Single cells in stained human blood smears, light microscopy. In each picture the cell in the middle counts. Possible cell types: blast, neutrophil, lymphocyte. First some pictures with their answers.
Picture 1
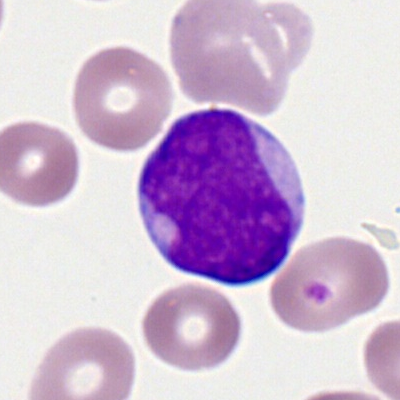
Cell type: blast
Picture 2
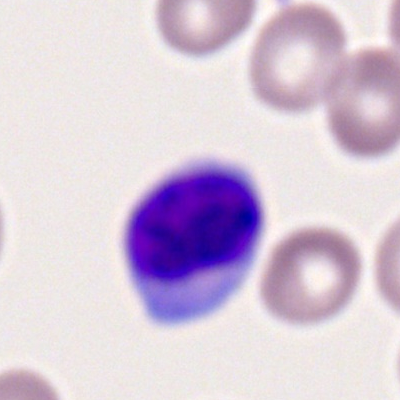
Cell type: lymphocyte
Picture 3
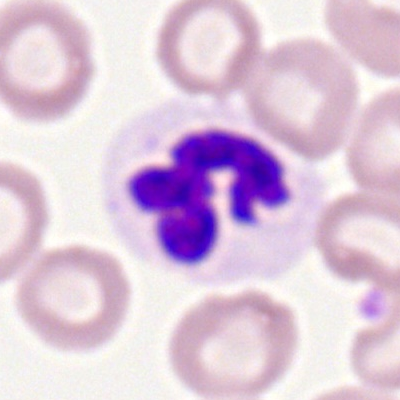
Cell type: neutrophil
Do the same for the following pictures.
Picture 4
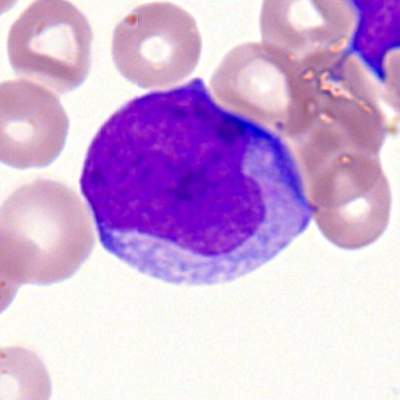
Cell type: blast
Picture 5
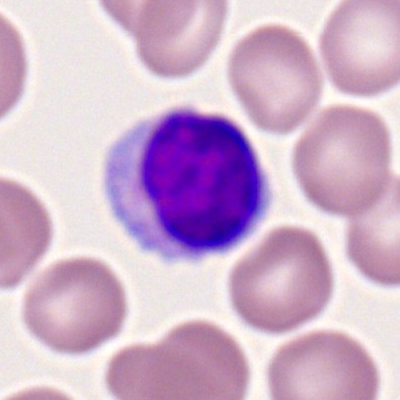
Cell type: lymphocyte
